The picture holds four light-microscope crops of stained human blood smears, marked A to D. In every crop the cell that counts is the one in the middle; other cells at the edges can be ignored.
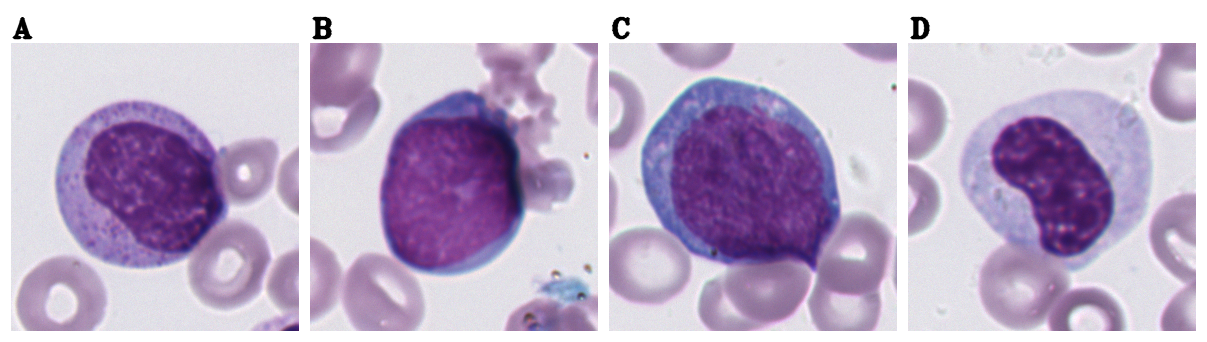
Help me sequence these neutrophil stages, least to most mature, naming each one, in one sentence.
From least mature through to most mature, the order is crop B (a blast), crop C (a promyelocyte), crop A (a myelocyte) and crop D (a band neutrophil).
